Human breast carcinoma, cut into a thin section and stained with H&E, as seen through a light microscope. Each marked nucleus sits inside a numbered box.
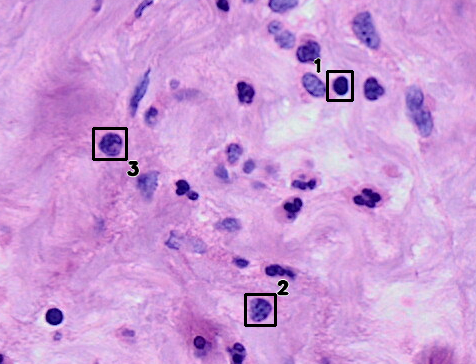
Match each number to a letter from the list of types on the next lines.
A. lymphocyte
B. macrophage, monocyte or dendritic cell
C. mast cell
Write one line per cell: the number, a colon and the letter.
1: A
2: C
3: A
